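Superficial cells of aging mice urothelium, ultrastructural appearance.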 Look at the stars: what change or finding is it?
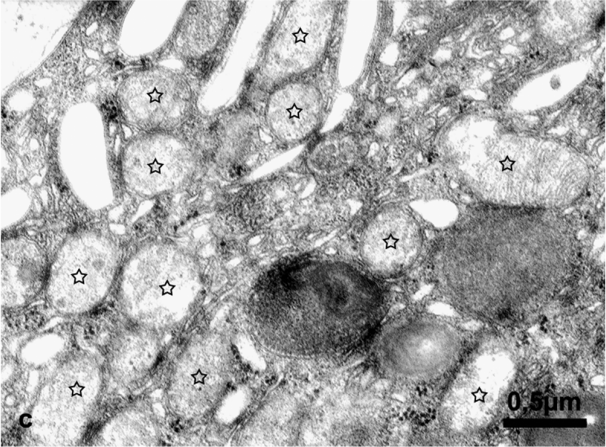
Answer: Partial or complete destruction of cristae.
